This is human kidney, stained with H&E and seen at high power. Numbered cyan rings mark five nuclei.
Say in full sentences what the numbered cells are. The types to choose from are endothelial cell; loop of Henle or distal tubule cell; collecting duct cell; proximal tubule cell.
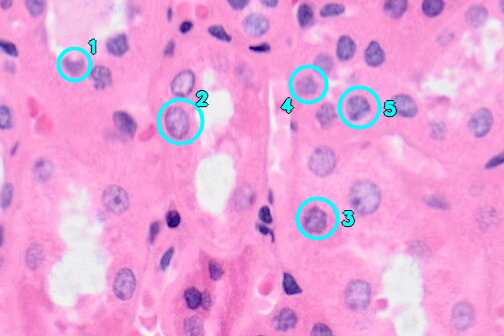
Cells 1, 4 and 5 are loop of Henle or distal tubule cells. Cells 2 and 3 are proximal tubule cells.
